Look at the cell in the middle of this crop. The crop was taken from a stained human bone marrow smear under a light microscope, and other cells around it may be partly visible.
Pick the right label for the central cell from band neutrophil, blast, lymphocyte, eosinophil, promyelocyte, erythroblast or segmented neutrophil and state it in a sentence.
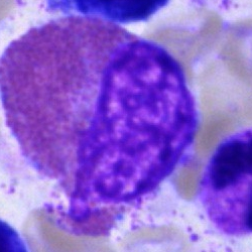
For this crop, the cell in the middle is an eosinophil.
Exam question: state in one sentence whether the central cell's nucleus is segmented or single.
If you check the nucleus, you will find one compact mass, round, oval or kidney-shaped.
